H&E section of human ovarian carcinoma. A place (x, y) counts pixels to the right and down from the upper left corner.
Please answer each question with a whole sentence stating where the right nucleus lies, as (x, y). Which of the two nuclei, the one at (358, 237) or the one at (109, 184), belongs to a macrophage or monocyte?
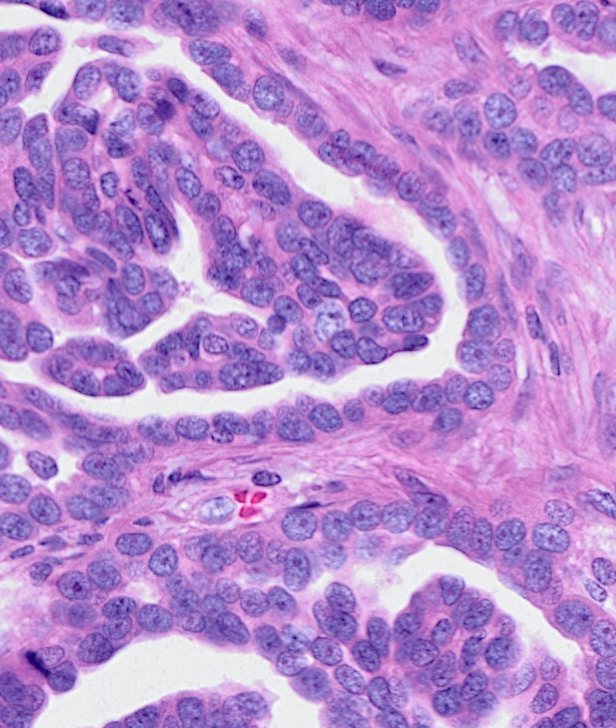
At (109, 184) lies the nucleus that belongs to a macrophage or monocyte.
